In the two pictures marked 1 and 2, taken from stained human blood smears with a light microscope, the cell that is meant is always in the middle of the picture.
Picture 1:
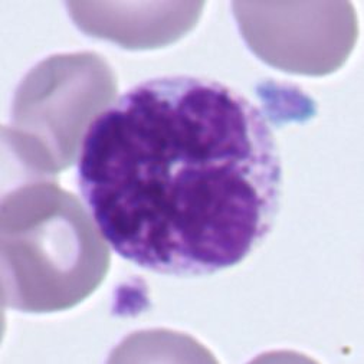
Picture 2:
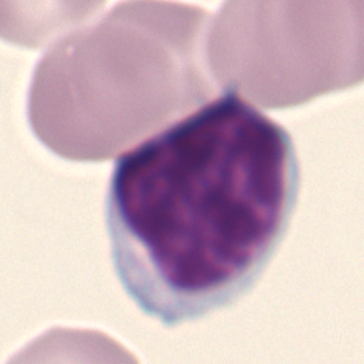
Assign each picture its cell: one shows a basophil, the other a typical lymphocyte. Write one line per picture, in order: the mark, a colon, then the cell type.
1: basophil
2: typical lymphocyte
